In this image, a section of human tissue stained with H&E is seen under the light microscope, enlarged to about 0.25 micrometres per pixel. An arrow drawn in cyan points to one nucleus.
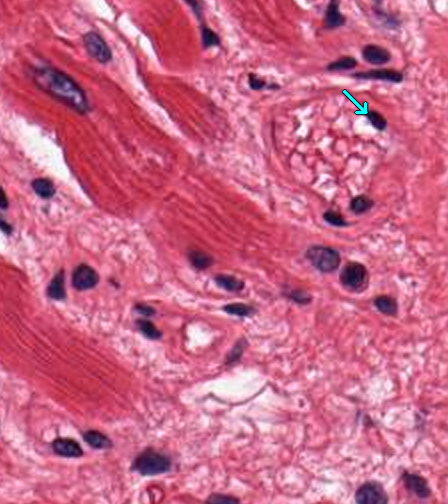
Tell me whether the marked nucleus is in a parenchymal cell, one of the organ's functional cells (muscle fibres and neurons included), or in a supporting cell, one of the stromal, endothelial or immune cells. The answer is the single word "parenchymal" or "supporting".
supporting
